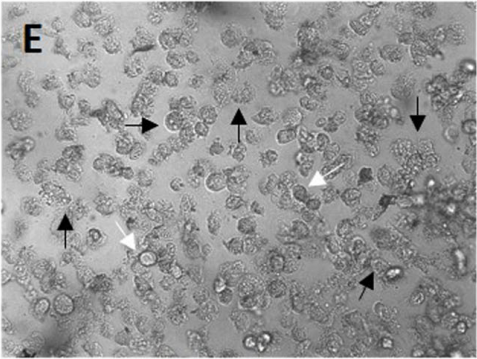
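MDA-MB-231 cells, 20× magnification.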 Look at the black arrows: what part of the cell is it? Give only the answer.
intracellular vacuoles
